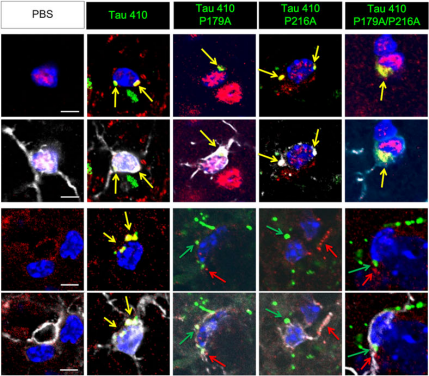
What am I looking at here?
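The white cell bodies are small, and in several images thin branching processes reach out from them. Green dots of varying size lie near the cells and partly within them. In some images these green dots overlap red signal and appear yellow, as the yellow arrows point out.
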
